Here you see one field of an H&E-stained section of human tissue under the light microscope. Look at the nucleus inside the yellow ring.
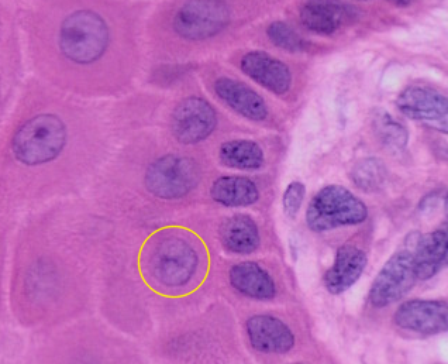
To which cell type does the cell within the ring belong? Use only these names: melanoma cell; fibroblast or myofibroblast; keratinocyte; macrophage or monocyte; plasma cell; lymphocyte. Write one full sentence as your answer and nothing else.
Placed in its cell category, the cell within the ring is a keratinocyte.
